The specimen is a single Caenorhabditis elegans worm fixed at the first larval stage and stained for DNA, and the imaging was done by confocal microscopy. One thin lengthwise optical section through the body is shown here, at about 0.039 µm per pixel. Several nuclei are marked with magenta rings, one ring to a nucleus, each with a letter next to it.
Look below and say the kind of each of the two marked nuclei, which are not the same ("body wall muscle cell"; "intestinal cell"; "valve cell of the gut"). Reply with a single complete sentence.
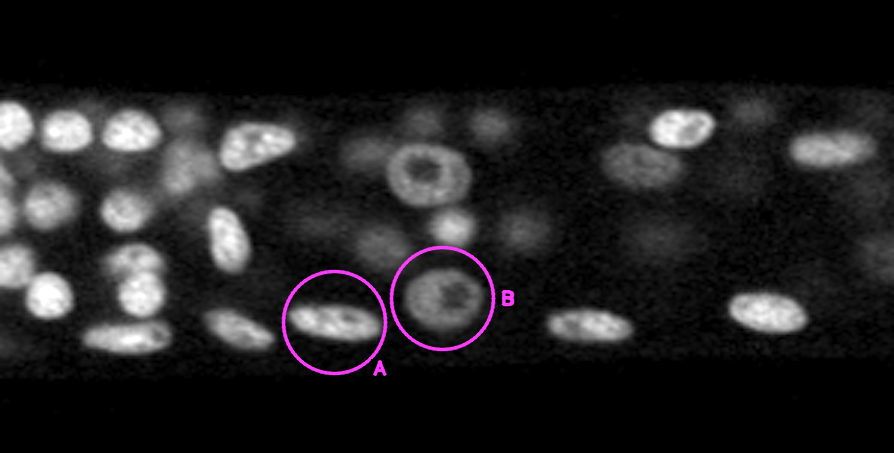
The nucleus A is that of a body wall muscle cell, while B is that of an intestinal cell.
